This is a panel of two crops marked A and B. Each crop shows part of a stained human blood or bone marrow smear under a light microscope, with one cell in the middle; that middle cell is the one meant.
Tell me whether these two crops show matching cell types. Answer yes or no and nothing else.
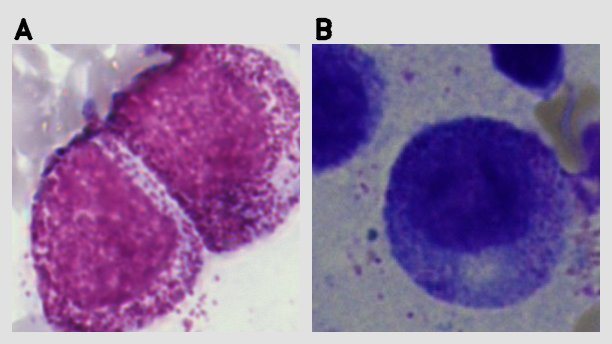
no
